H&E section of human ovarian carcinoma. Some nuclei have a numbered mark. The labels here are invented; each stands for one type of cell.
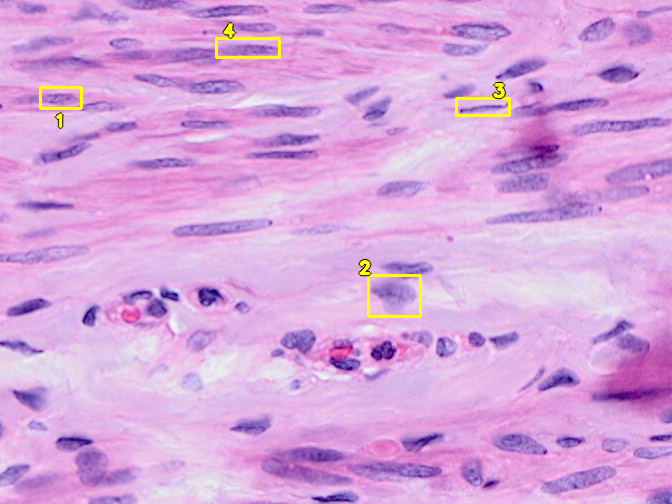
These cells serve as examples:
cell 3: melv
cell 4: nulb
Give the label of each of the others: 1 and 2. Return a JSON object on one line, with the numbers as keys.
{"1": "nulb", "2": "melv"}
